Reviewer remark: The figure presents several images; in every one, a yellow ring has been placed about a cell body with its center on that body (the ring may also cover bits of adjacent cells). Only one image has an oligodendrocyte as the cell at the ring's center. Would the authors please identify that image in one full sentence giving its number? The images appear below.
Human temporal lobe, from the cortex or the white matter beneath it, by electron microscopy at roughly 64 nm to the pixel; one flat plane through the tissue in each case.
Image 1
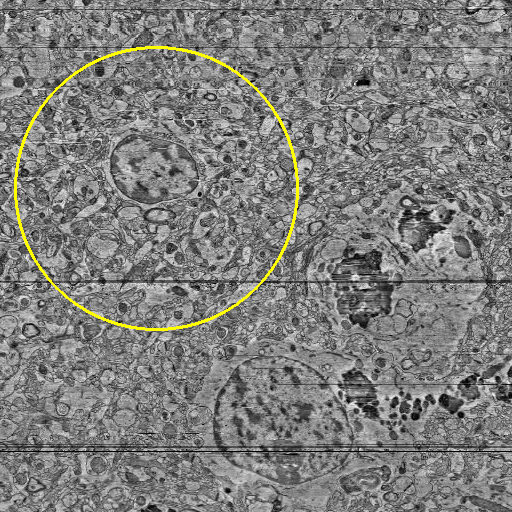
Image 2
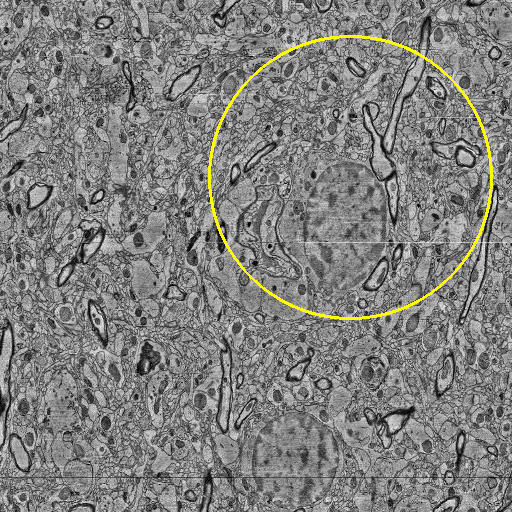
The ring's central cell in image 2 is the one the question describes.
